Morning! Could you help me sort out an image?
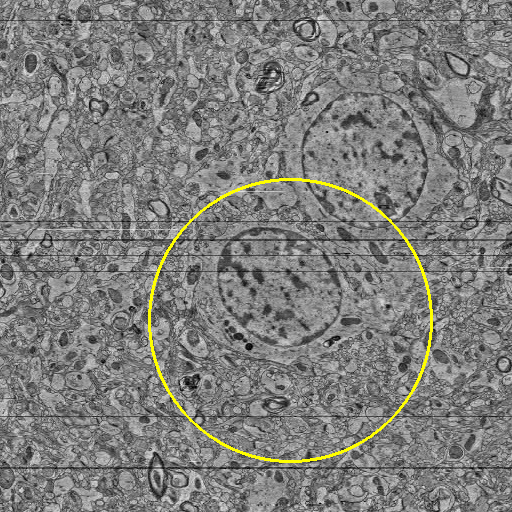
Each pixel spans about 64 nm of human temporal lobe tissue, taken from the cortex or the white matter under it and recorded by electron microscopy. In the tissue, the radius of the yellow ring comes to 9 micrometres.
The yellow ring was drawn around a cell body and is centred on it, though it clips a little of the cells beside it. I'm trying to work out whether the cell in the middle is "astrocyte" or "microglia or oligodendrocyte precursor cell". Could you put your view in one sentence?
The ringed cell body is that of an astrocyte.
